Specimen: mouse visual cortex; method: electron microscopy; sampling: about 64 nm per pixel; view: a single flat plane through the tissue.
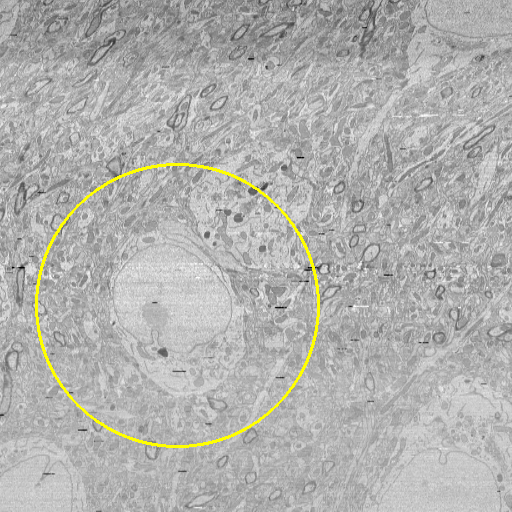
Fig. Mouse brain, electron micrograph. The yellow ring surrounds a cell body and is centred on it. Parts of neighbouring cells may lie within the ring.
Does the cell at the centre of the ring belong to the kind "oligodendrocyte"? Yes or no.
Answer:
no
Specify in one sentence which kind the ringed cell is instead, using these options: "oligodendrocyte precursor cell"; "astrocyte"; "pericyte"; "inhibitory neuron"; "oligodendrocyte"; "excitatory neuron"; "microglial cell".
Instead, the cell inside the ring is an excitatory neuron.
